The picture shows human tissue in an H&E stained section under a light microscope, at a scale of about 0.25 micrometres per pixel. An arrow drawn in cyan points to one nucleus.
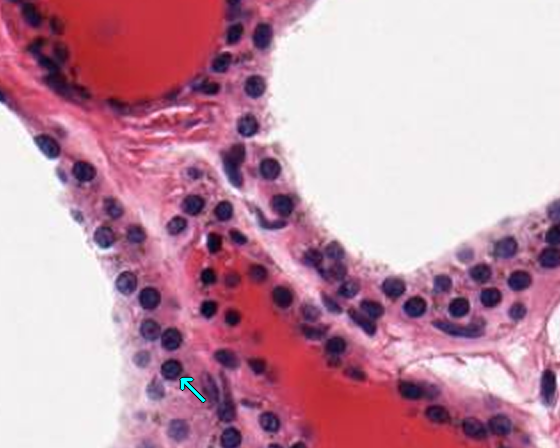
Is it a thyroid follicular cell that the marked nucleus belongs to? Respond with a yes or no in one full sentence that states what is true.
Yes, the cell to which the marked nucleus belongs is a thyroid follicular cell.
